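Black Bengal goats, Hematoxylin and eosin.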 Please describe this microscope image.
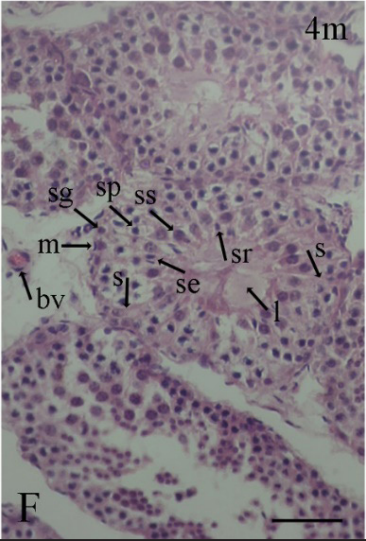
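This is a seminiferous tubule lined by a stratified seminiferous epithelium, with flattened myoid cells at the outer edge and spermatogonia sitting on the base. Sertoli cells with paler nuclei span the epithelium, and a blood vessel sits in the interstitium outside.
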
